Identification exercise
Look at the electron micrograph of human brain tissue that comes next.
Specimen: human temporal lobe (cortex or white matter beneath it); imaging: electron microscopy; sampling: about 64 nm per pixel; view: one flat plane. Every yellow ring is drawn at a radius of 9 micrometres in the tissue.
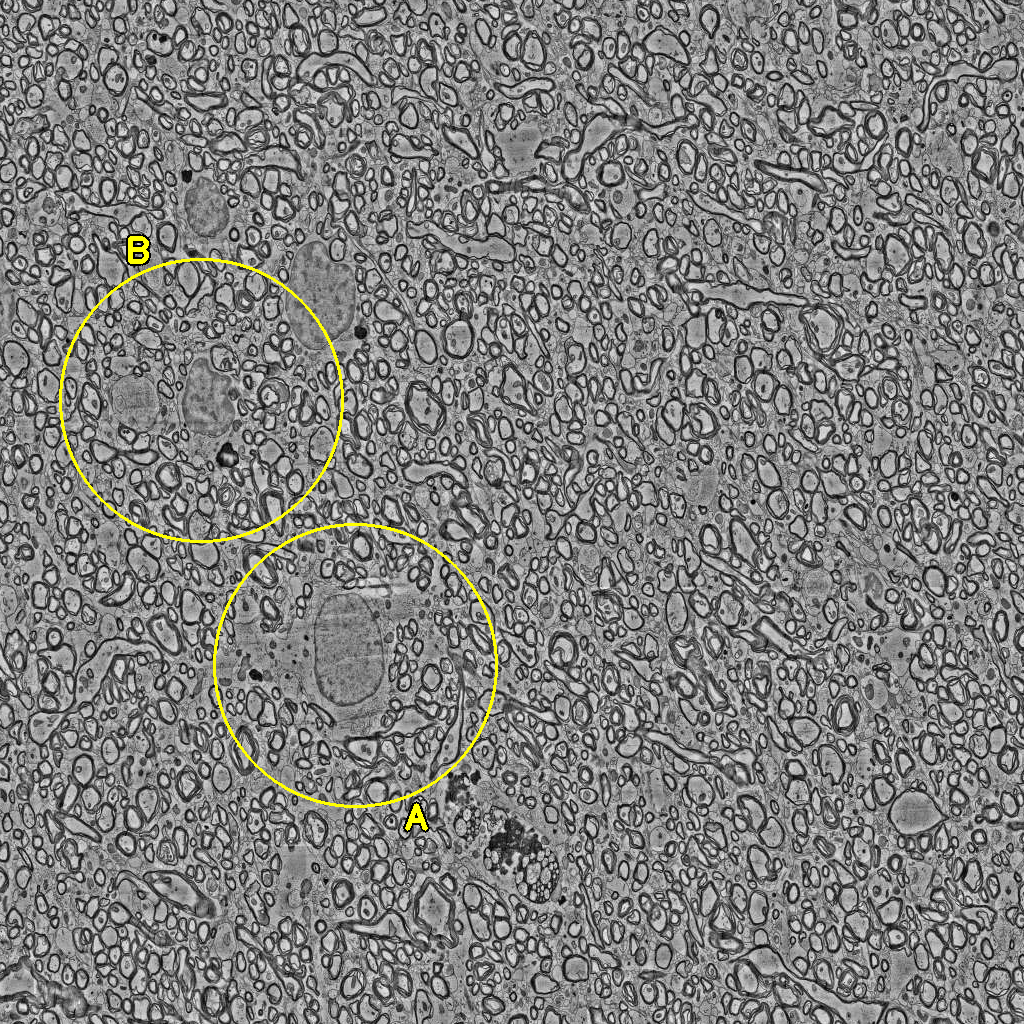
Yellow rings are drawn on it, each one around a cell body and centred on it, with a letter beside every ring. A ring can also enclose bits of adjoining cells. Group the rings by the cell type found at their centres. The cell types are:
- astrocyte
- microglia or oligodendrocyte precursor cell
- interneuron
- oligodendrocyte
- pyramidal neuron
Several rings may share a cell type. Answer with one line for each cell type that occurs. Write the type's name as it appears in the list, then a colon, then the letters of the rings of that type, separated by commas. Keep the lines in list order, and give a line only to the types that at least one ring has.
astrocyte: A
oligodendrocyte: B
